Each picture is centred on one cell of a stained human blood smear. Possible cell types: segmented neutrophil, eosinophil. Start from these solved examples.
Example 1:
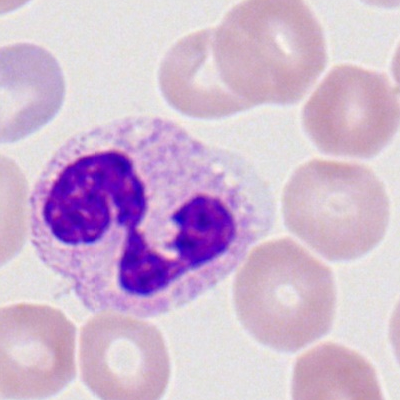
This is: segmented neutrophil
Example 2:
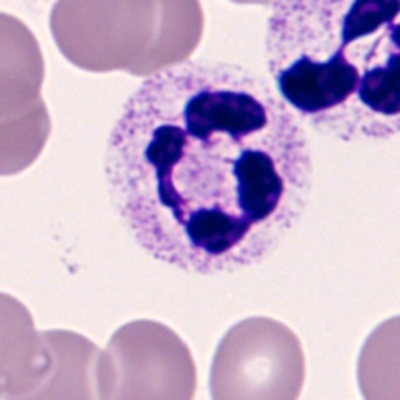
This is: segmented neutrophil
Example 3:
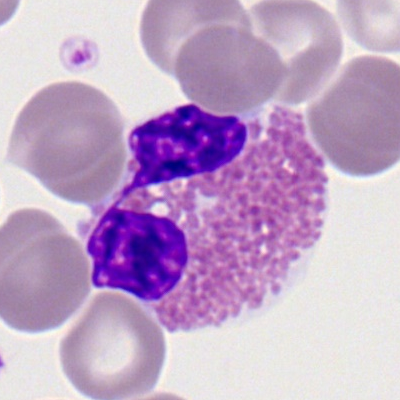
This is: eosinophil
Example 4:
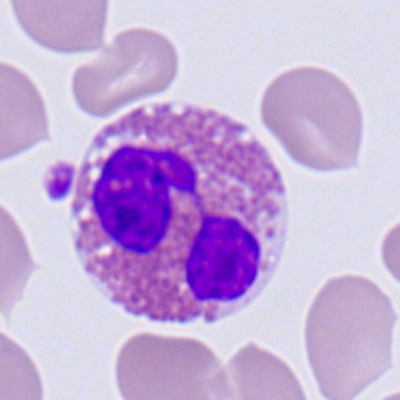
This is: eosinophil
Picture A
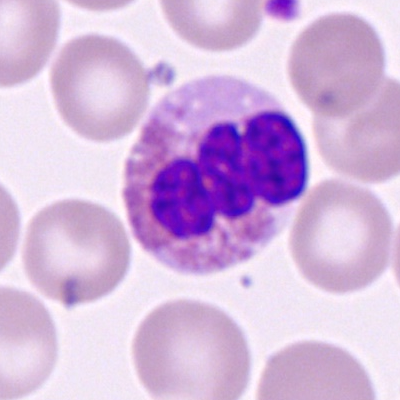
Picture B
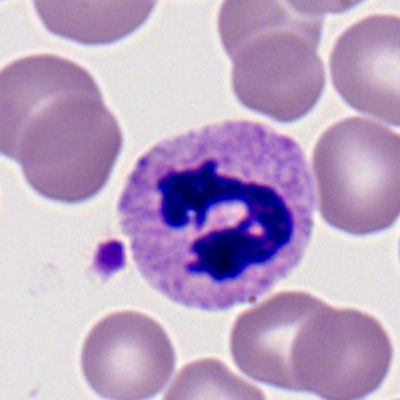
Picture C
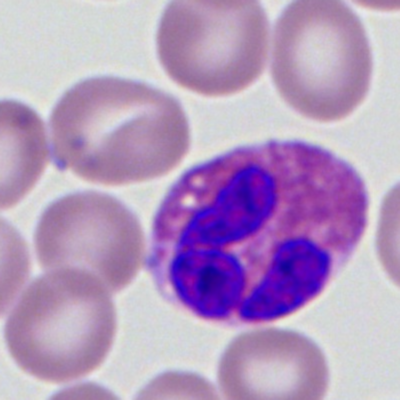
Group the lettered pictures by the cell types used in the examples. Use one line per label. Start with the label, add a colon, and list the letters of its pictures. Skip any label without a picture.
segmented neutrophil: B
eosinophil: A, C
